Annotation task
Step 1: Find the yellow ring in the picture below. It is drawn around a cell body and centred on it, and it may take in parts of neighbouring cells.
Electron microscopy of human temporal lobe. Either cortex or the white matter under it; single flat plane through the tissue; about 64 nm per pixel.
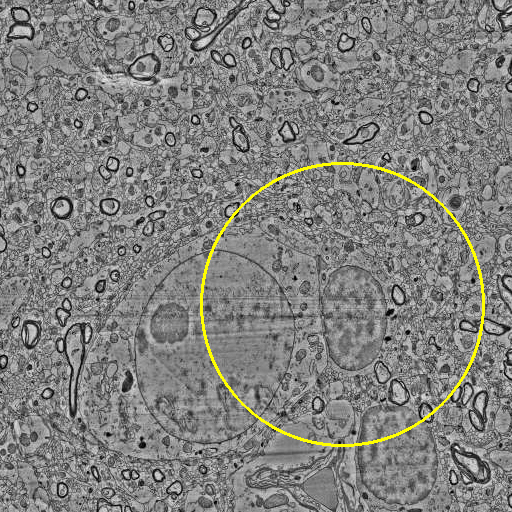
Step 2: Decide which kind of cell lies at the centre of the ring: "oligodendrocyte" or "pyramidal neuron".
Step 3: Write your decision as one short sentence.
The kind of cell at the ring's centre is an oligodendrocyte.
